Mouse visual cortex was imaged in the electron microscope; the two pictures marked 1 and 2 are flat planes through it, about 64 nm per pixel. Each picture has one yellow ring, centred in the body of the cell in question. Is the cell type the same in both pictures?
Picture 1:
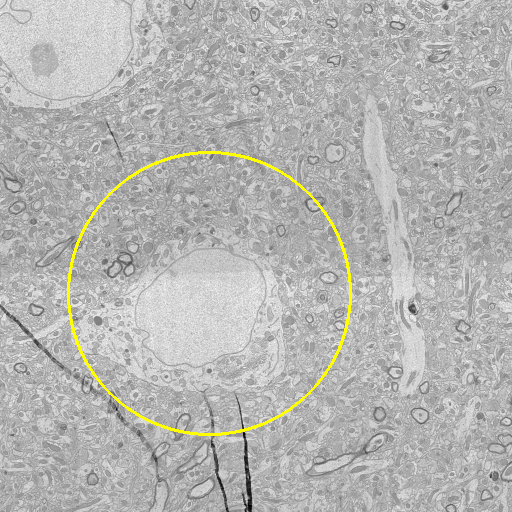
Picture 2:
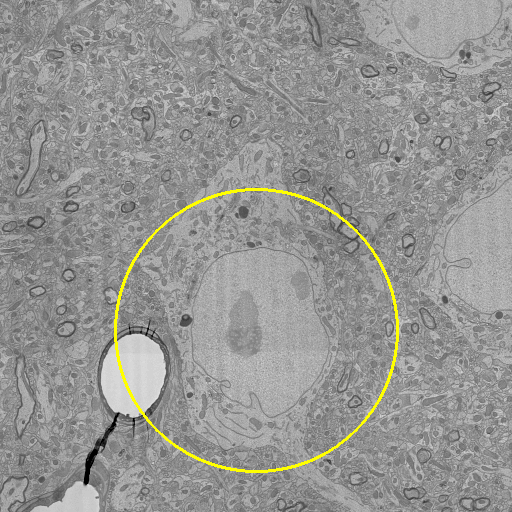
Yes, both cells are excitatory neurons.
